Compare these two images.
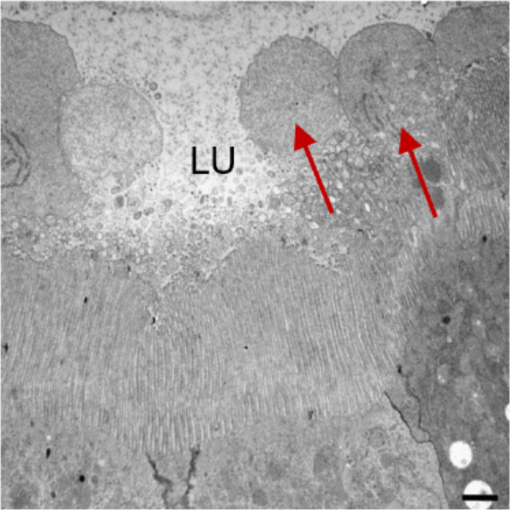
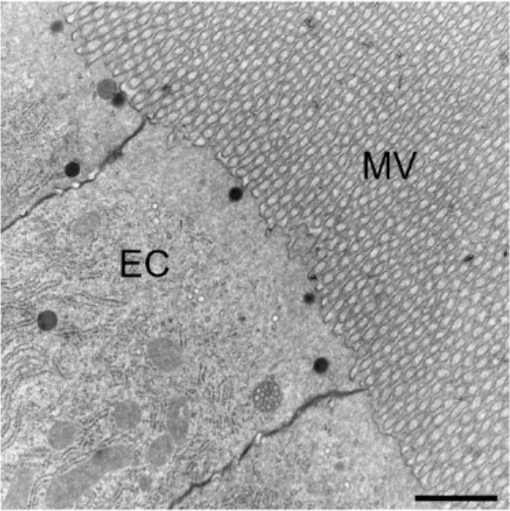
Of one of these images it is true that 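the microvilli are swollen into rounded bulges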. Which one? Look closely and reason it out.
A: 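The first image. First image: large rounded bulges project from the cell surface into the lumen. Second image: the surface carries a regular, densely packed array of slender uniform projections.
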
